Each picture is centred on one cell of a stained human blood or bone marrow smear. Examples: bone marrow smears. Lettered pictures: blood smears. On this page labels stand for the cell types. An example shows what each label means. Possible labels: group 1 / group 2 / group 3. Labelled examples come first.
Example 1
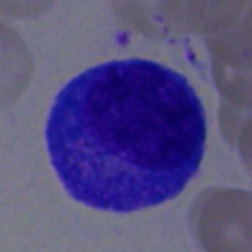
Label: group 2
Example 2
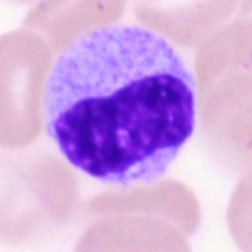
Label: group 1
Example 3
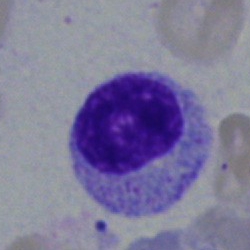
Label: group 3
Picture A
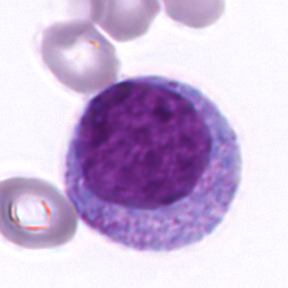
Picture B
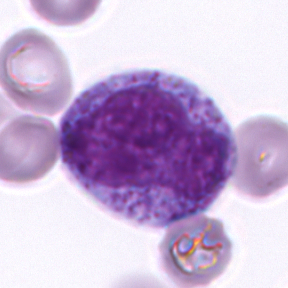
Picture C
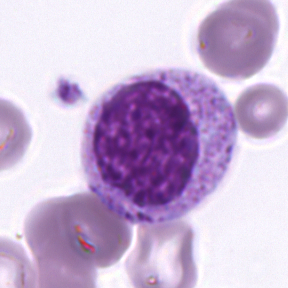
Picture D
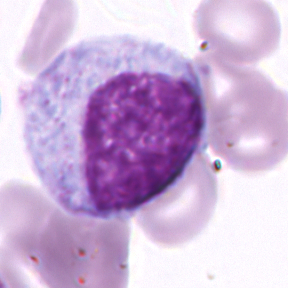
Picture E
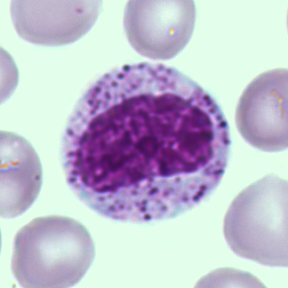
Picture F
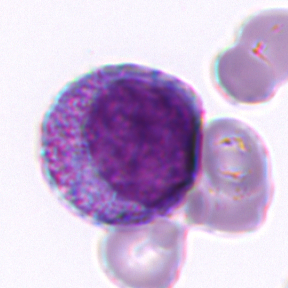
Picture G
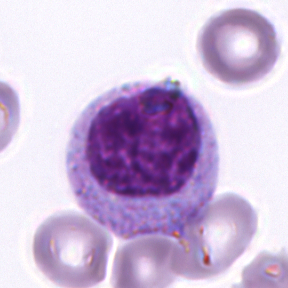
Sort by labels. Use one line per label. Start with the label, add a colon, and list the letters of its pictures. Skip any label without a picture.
group 1: E
group 2: A, B
group 3: C, D, F, G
